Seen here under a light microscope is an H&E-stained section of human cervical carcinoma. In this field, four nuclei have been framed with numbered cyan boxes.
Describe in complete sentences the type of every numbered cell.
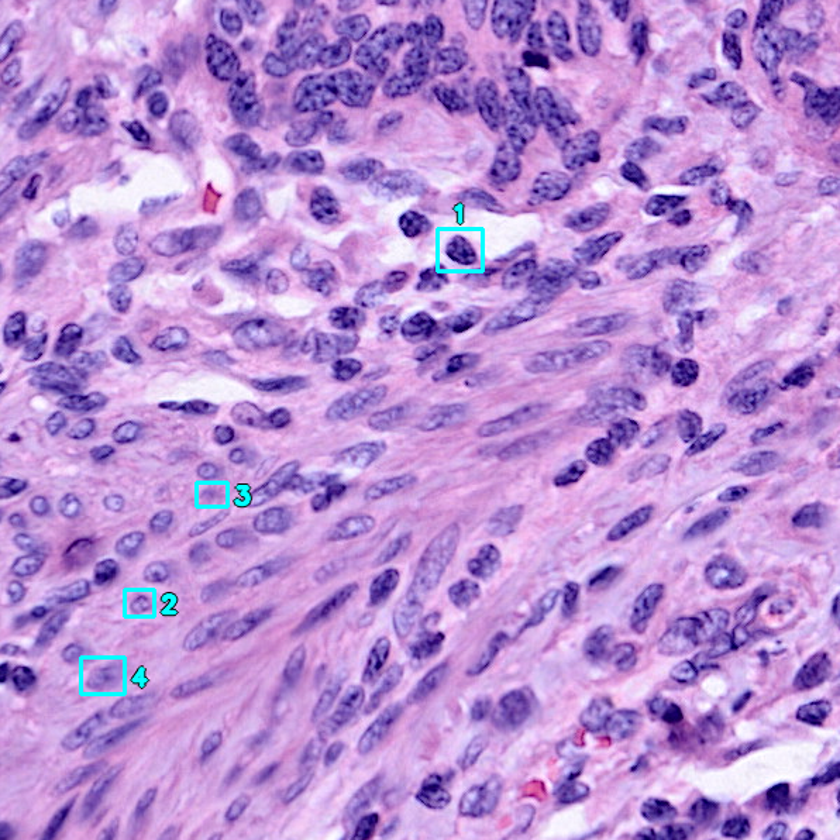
Cell 1 is a lymphocyte, cell 2 is a smooth muscle cell, cell 3 is a smooth muscle cell and cell 4 is a smooth muscle cell.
